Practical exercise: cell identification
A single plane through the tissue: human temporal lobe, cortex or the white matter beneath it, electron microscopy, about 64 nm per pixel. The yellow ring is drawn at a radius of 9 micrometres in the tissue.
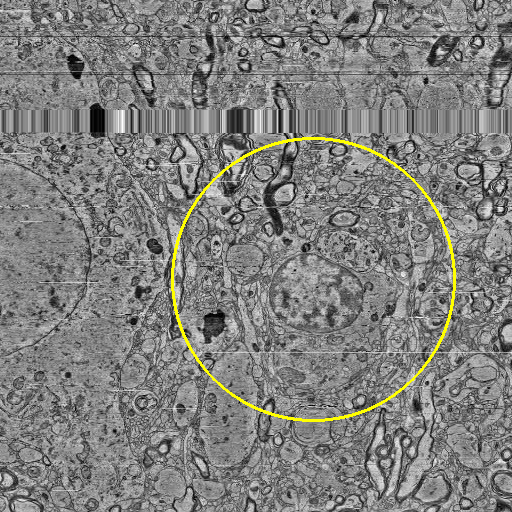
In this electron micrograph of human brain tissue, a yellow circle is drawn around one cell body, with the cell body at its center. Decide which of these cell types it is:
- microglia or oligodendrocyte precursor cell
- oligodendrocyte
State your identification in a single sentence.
The ringed cell is an oligodendrocyte.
